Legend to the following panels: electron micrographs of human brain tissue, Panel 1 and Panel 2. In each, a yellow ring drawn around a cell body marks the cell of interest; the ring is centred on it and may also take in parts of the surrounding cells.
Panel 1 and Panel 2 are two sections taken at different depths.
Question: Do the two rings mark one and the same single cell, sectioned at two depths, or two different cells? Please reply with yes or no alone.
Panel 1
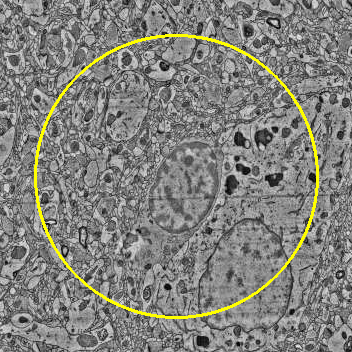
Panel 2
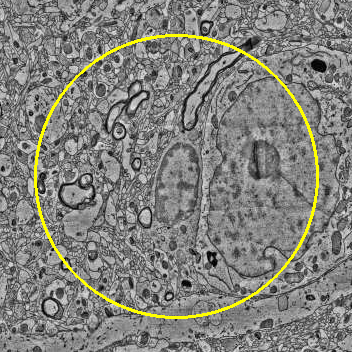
no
